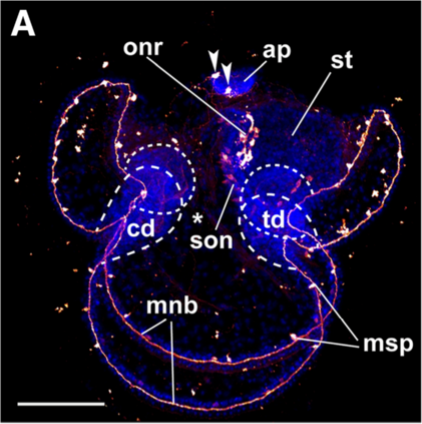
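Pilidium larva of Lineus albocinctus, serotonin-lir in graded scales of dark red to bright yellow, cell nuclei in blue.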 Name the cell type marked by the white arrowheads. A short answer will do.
apical neuron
